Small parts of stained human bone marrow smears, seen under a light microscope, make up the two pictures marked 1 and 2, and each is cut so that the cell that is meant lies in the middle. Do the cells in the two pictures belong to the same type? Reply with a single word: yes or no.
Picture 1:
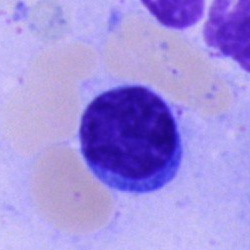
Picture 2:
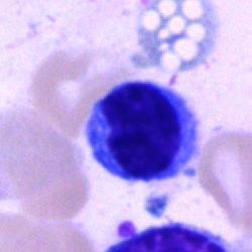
yes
